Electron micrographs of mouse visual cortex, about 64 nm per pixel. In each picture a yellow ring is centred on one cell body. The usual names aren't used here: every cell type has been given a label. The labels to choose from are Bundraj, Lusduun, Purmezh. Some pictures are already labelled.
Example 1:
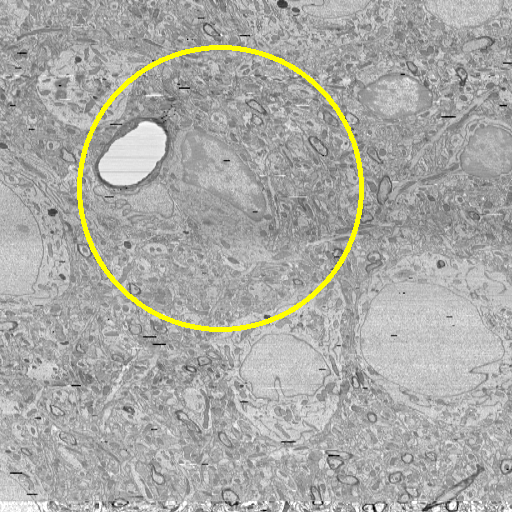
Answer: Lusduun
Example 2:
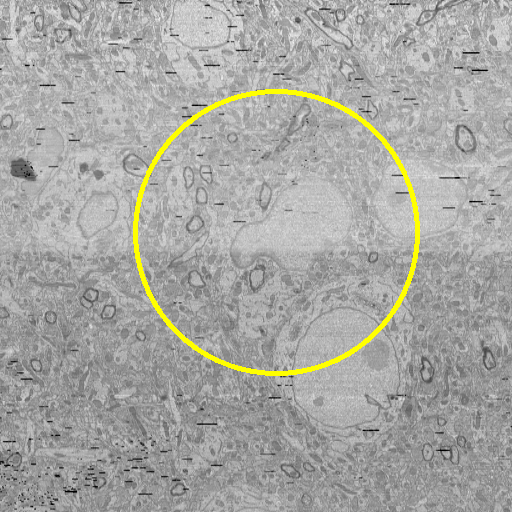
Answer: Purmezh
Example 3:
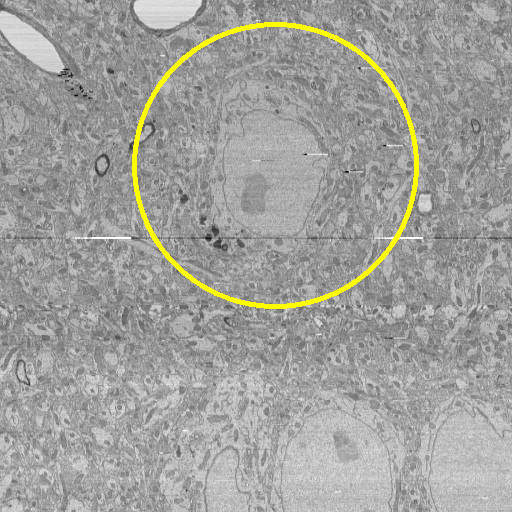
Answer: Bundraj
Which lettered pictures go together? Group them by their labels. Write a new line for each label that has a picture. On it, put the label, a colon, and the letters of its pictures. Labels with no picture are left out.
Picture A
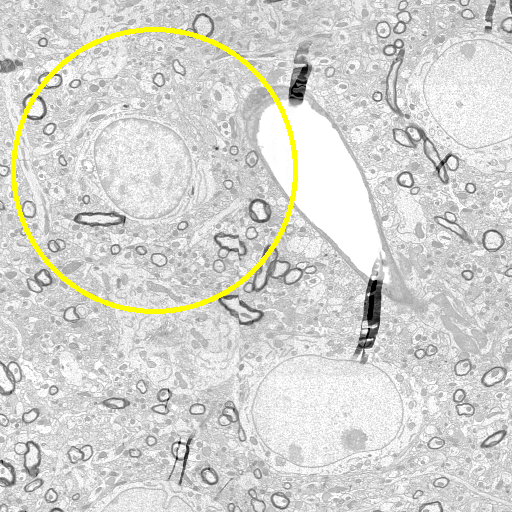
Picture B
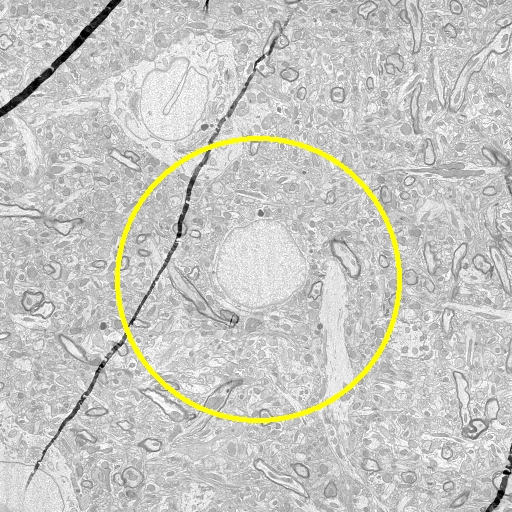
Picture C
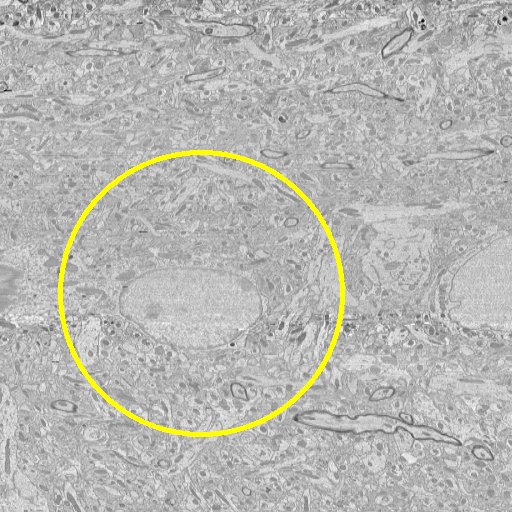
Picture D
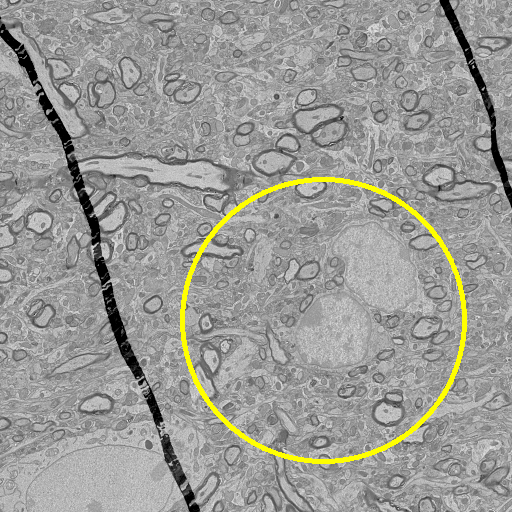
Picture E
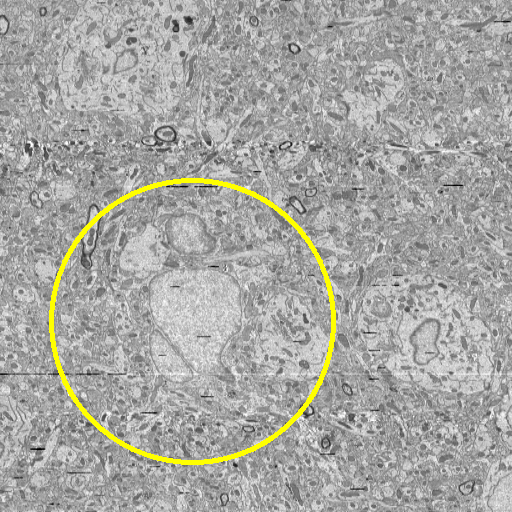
Lusduun: A, D
Purmezh: B, C, E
